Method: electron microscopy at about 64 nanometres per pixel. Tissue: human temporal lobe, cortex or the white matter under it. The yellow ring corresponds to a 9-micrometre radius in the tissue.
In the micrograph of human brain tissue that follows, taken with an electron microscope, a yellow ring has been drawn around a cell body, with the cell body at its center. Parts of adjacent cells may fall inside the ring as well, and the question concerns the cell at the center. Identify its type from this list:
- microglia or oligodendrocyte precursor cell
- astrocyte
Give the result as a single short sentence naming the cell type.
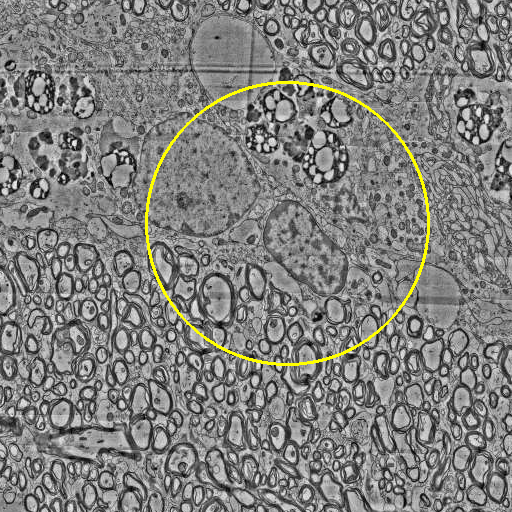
The ring is centered on a microglial cell or oligodendrocyte precursor cell.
